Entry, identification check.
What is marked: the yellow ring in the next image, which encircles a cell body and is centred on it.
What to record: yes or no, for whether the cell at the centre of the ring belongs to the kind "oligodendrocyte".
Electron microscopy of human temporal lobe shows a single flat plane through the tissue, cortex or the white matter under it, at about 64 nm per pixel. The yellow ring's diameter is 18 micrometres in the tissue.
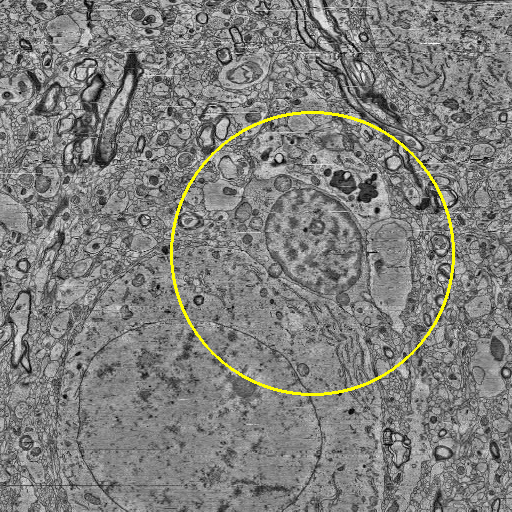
Yes, it belongs to that kind.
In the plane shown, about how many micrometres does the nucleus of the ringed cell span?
In this plane, roughly 7 by 6 micrometres.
